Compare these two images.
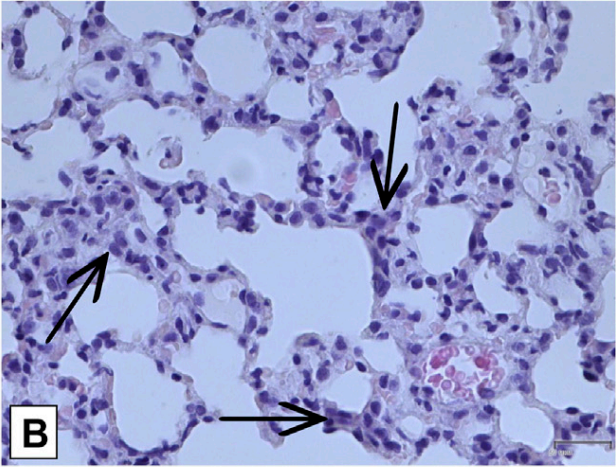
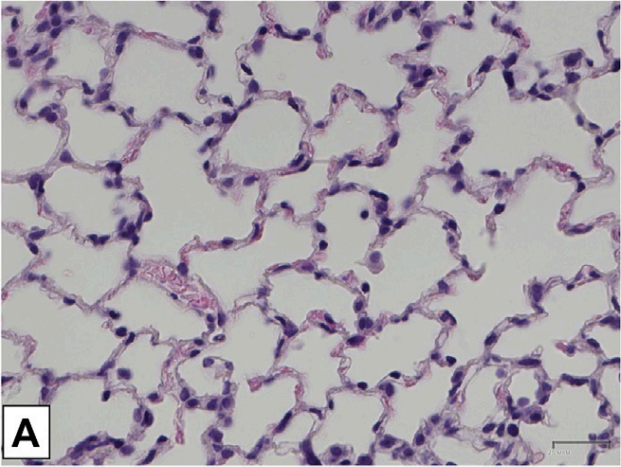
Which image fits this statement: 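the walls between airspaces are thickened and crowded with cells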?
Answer: The first image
